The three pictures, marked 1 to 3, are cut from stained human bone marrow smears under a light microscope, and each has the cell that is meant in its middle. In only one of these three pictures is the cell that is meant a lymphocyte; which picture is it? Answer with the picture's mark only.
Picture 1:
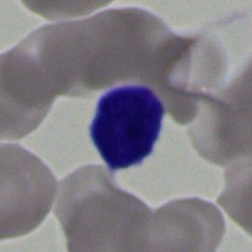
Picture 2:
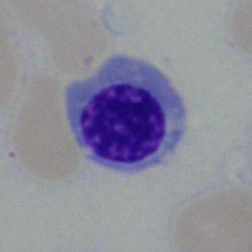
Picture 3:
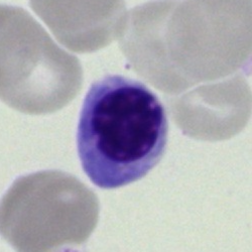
1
